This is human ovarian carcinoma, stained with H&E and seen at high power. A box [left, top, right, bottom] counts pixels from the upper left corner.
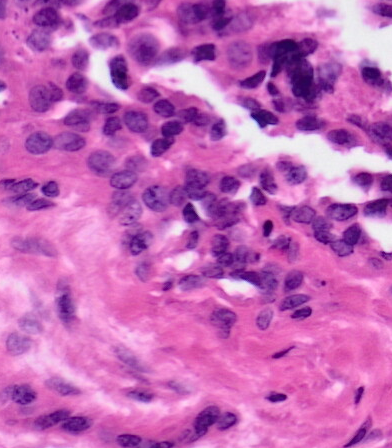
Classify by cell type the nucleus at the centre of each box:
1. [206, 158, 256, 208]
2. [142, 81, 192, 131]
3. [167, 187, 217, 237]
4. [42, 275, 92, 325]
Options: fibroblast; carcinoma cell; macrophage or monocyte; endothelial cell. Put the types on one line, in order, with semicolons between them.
carcinoma cell; carcinoma cell; carcinoma cell; fibroblast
